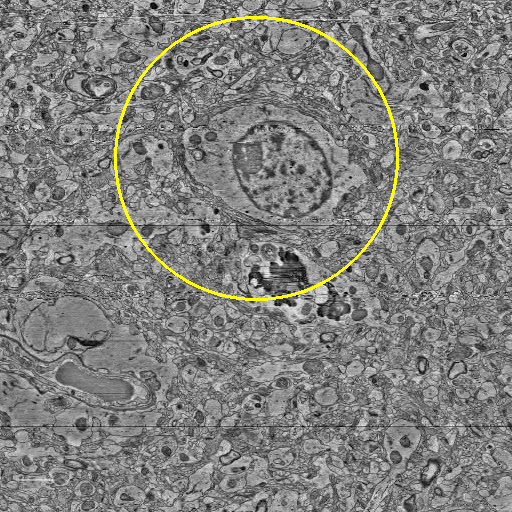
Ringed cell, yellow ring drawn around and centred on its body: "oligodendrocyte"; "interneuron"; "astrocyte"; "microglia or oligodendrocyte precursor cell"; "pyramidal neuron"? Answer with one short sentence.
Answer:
This ringed cell is an astrocyte.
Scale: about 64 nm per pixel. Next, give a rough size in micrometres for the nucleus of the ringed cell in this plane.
In this plane, about 7 micrometres in length and 6 in width.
